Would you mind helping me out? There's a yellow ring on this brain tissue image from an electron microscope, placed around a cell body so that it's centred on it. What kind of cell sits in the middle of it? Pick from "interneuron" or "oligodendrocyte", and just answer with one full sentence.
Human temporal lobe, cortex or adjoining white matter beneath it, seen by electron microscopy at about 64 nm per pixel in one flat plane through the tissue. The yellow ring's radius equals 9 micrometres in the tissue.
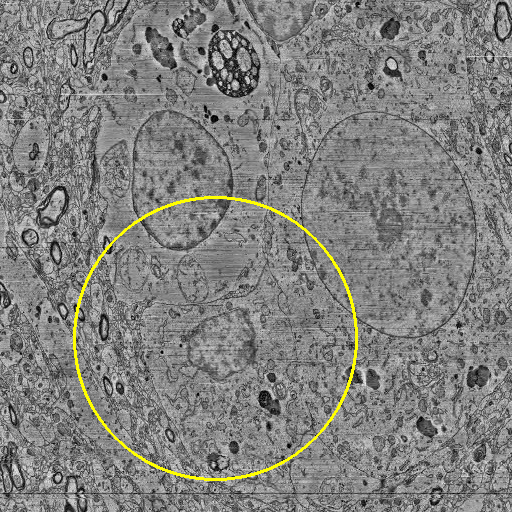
What sits in the middle of that yellow ring is an interneuron, from your choices.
